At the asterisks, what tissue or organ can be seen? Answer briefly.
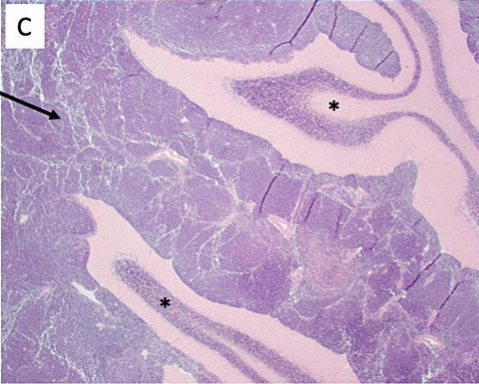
cerebellum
